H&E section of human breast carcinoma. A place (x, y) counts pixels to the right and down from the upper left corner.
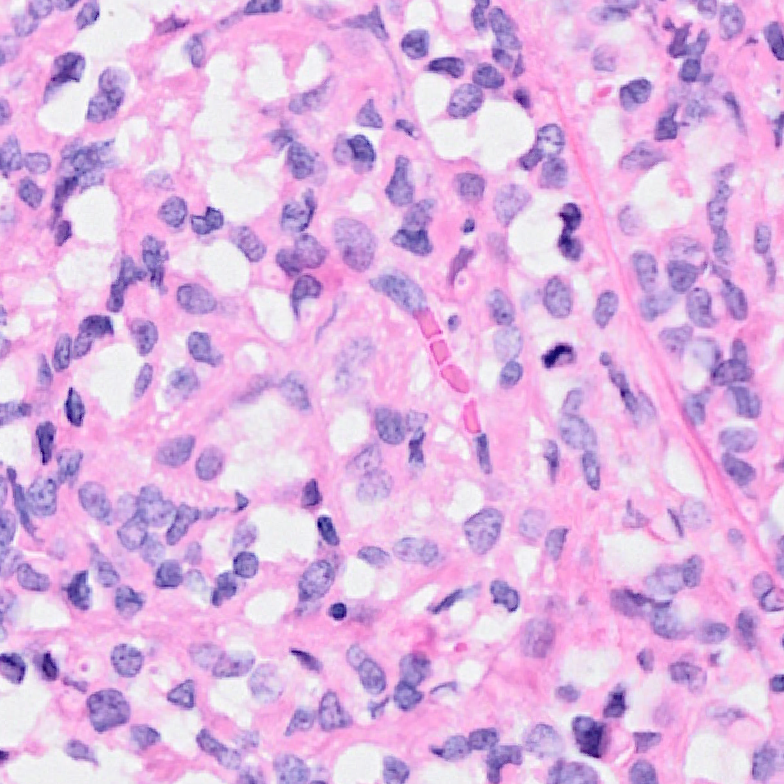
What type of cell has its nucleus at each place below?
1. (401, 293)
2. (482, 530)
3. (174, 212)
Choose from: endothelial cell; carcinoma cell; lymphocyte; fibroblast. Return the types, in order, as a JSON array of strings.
["endothelial cell", "carcinoma cell", "carcinoma cell"]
